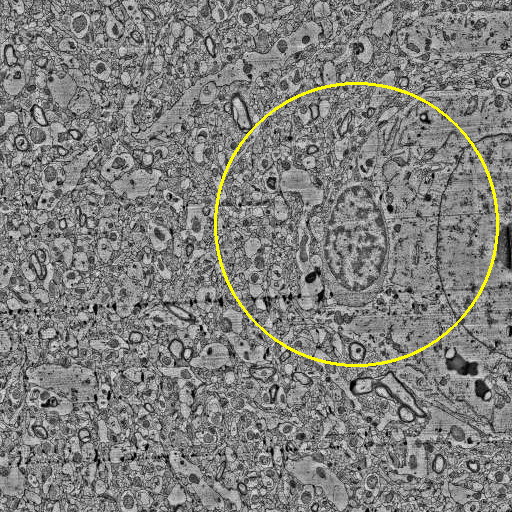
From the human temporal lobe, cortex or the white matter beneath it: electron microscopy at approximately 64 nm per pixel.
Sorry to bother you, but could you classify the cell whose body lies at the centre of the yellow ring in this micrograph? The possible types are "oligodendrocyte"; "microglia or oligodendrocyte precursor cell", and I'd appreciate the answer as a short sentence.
The ringed cell body is that of an oligodendrocyte.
